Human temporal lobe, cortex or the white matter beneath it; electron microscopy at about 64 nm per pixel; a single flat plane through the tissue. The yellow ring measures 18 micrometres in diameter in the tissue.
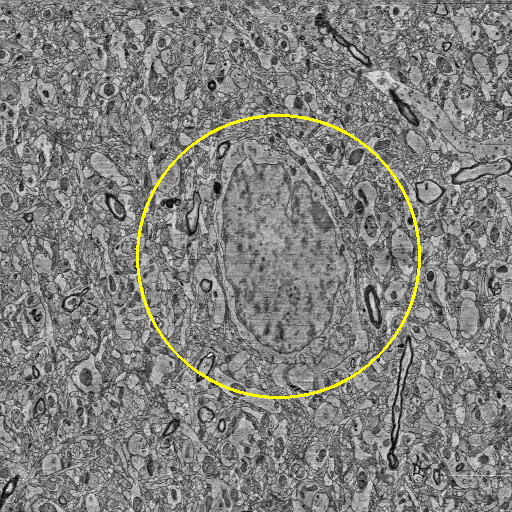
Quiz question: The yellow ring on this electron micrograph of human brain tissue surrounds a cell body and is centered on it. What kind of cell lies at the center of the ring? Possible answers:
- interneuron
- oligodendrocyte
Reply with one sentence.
The ring's center lies on an interneuron.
